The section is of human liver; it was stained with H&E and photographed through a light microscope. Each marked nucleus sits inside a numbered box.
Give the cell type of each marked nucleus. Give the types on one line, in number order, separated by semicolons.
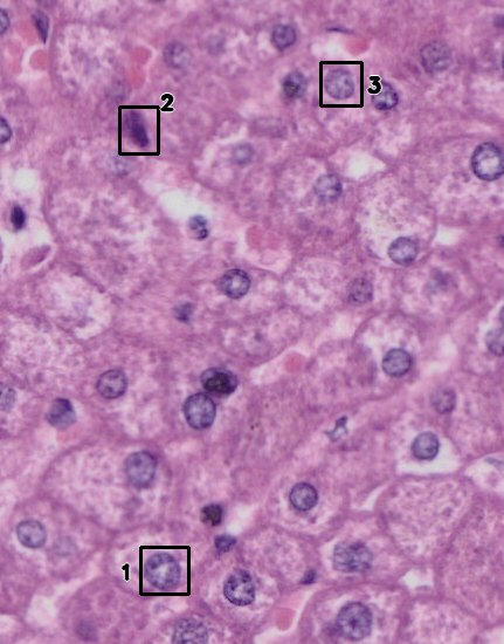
hepatocyte; fibroblast or stellate cell; hepatocyte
